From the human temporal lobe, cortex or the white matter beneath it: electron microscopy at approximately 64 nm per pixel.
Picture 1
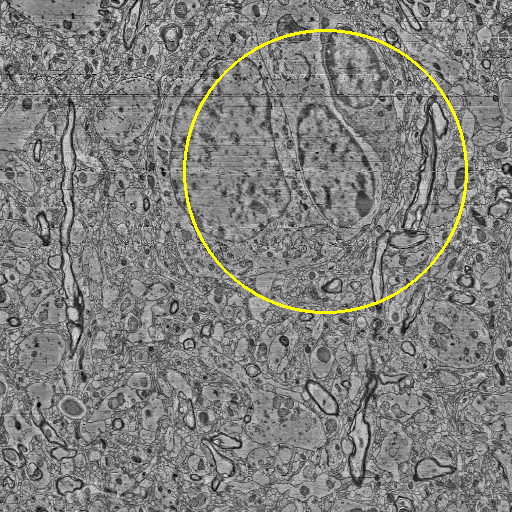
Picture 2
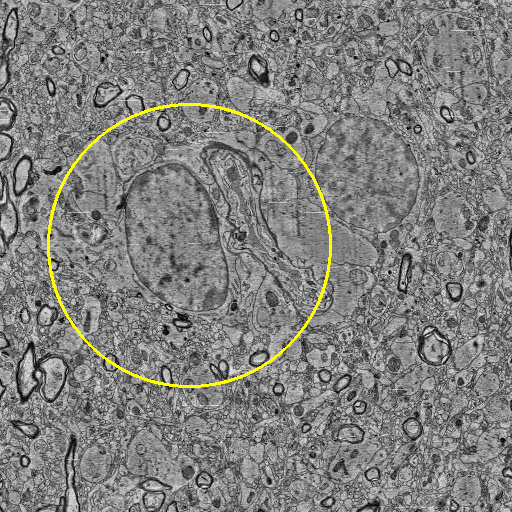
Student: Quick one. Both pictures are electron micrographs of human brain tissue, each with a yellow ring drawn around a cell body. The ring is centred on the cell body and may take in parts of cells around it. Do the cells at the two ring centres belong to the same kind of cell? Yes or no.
yes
